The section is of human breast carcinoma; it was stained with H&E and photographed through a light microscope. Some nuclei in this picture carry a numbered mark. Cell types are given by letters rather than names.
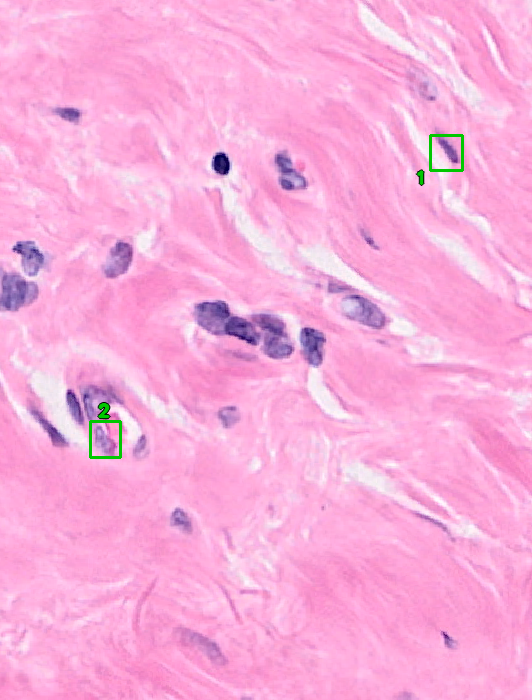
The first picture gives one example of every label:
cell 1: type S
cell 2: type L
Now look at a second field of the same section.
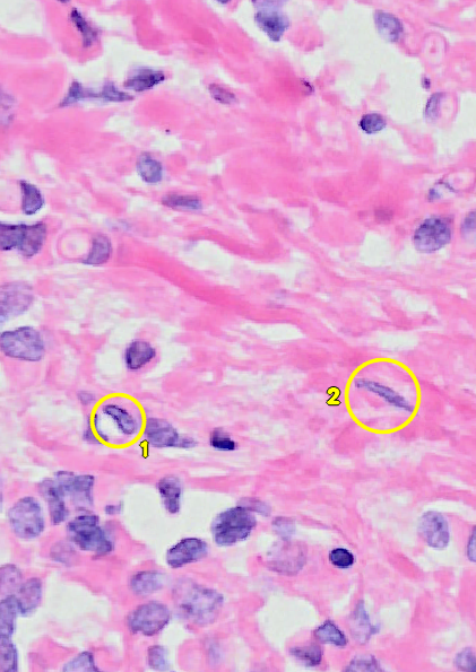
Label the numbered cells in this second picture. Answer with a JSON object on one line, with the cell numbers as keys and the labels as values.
{"1": "type L", "2": "type S"}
